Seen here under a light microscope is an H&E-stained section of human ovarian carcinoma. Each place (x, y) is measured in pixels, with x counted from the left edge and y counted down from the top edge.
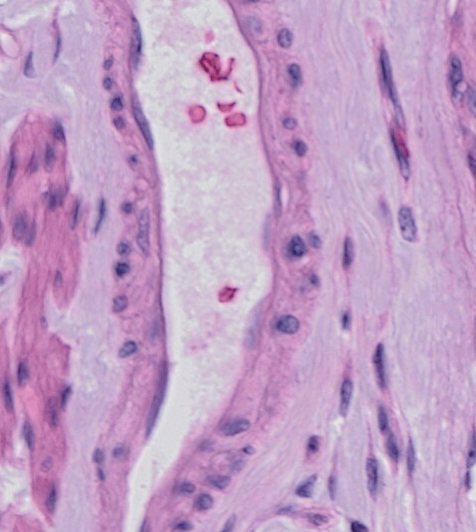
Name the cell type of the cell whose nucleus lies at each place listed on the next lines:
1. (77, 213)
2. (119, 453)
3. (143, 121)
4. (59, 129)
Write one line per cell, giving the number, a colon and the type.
1: smooth muscle cell
2: smooth muscle cell
3: endothelial cell
4: smooth muscle cell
